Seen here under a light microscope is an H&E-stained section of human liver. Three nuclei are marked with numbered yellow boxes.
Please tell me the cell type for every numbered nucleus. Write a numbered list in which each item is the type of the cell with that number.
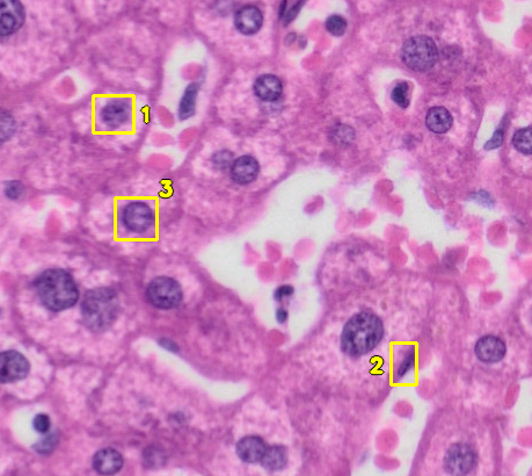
1. hepatocyte
2. endothelial cell
3. hepatocyte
